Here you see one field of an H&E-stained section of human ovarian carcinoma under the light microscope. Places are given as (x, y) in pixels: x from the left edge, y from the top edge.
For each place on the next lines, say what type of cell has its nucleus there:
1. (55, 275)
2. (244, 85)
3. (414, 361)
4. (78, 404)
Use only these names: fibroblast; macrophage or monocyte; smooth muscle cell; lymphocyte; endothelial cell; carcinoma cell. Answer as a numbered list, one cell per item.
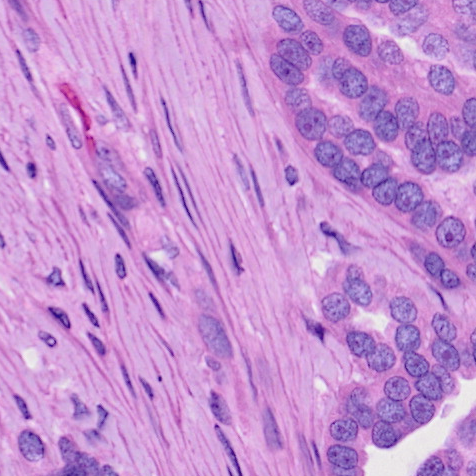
1. fibroblast
2. fibroblast
3. carcinoma cell
4. fibroblast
